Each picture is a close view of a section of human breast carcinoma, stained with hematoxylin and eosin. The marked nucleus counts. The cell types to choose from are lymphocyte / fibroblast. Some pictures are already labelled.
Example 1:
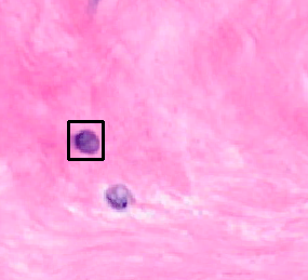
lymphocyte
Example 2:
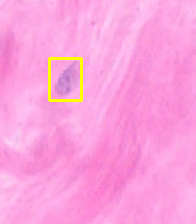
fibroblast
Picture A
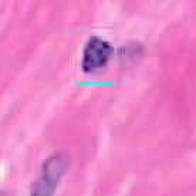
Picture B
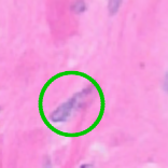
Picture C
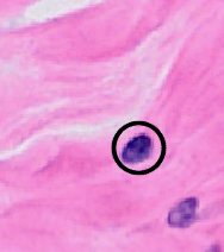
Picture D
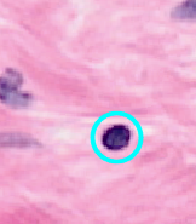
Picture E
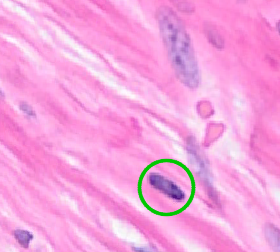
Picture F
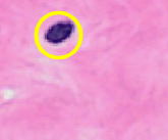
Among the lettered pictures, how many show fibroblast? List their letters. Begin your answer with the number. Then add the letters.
1: B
